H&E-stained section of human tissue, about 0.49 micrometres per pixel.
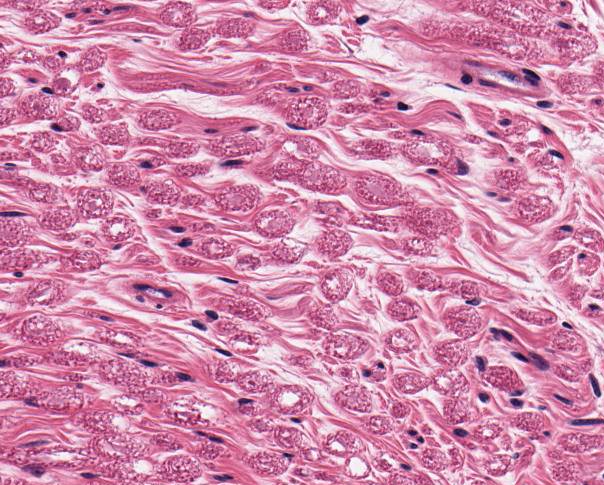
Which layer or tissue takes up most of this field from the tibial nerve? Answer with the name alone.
nerve fascicle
